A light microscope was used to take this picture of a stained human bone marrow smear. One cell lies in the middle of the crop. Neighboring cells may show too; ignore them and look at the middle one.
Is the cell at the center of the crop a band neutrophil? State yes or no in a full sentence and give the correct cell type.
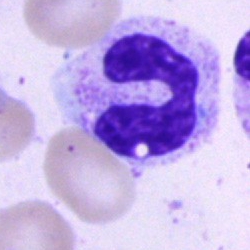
Yes, the cell under consideration, the one in the middle, is a band neutrophil.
